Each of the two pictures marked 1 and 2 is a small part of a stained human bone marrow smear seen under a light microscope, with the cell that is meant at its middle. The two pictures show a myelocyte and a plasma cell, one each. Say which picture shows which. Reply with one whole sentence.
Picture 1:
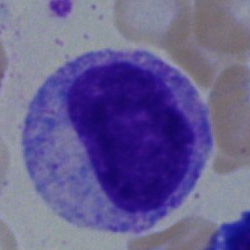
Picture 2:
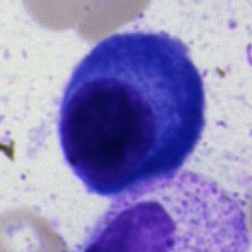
Picture 2 shows a plasma cell, while picture 1 shows a myelocyte.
